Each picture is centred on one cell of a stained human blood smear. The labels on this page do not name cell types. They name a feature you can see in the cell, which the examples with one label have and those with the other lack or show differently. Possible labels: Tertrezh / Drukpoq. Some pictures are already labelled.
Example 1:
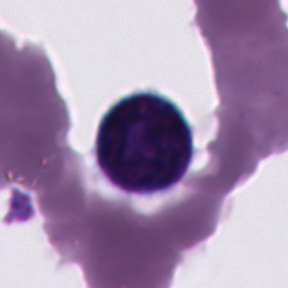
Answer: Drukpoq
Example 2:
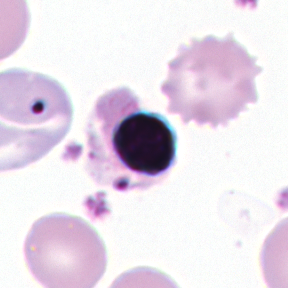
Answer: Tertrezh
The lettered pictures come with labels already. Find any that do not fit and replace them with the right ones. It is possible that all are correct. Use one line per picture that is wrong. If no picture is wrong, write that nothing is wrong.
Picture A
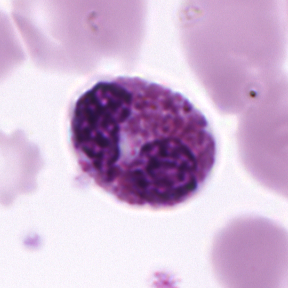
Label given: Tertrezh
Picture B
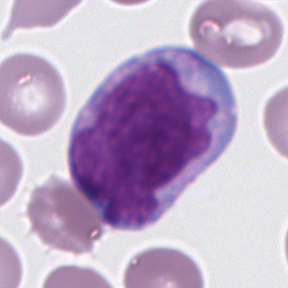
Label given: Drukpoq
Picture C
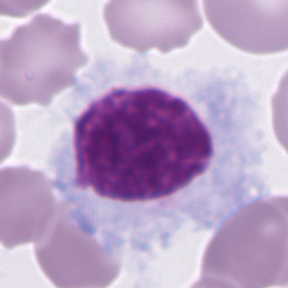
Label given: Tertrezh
A: not Tertrezh but Drukpoq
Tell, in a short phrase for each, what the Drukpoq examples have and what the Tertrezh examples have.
Seen in Drukpoq: smooth outline; seen in Tertrezh: ragged outline or projections.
